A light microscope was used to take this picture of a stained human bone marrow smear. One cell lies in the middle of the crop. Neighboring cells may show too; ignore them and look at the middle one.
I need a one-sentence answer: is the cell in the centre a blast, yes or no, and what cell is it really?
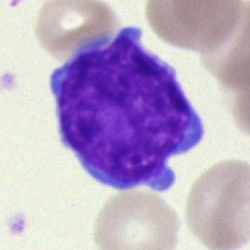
Yes, the cell in the centre is a blast.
